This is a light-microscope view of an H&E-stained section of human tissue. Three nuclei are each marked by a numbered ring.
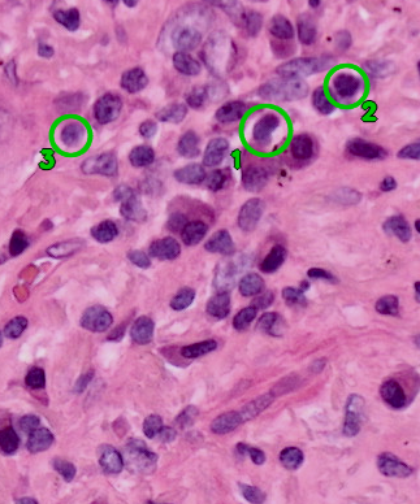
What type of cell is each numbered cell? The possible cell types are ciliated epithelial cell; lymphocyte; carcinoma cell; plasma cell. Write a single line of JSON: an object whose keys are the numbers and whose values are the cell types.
{"1": "plasma cell", "2": "lymphocyte", "3": "lymphocyte"}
